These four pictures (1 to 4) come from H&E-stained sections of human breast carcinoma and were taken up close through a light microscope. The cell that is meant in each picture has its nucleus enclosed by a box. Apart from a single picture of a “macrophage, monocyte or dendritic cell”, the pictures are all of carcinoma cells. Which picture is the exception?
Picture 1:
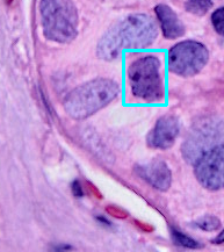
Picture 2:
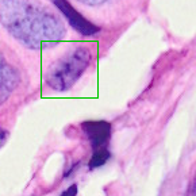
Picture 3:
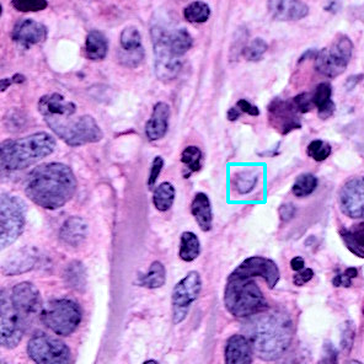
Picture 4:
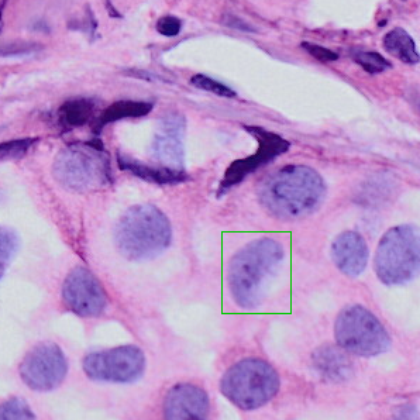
3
